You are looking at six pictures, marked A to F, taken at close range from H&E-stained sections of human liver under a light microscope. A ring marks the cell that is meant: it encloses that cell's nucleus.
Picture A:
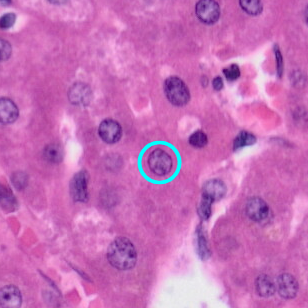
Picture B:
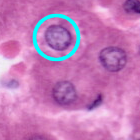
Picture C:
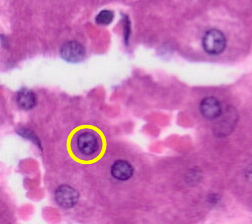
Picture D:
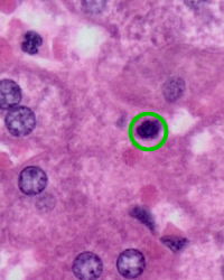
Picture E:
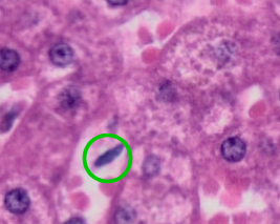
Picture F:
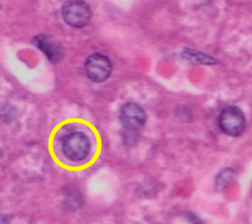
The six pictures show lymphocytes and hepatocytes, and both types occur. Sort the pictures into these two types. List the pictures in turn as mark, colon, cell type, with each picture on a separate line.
A: hepatocyte
B: hepatocyte
C: hepatocyte
D: lymphocyte
E: lymphocyte
F: hepatocyte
